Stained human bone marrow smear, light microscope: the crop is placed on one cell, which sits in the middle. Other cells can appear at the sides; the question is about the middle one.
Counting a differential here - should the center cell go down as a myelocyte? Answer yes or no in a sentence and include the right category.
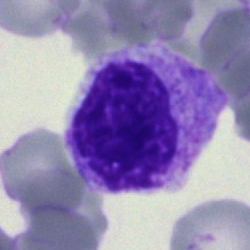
Yes, the cell in the centre is a myelocyte.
